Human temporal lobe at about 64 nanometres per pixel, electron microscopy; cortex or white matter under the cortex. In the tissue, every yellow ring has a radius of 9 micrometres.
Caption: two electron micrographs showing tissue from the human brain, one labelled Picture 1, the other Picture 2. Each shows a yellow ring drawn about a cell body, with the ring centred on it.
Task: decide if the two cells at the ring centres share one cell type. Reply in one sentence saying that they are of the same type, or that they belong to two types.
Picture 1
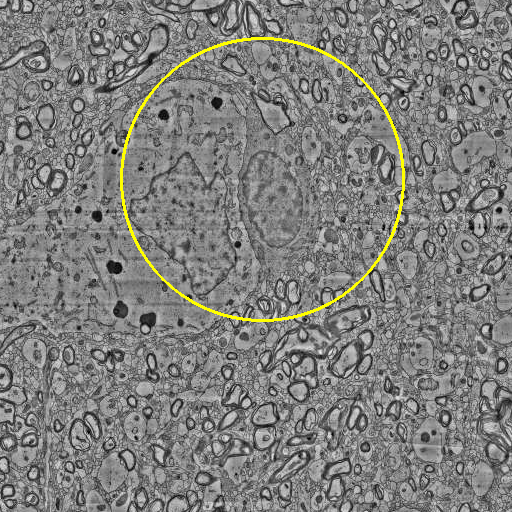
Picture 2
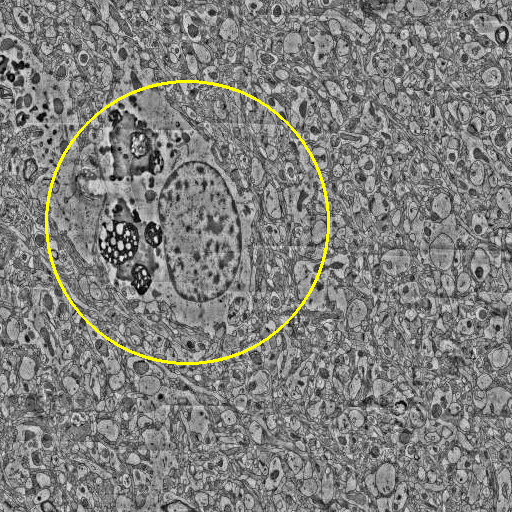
The cells at the ring centres in Picture 1 and Picture 2 belong to two types.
